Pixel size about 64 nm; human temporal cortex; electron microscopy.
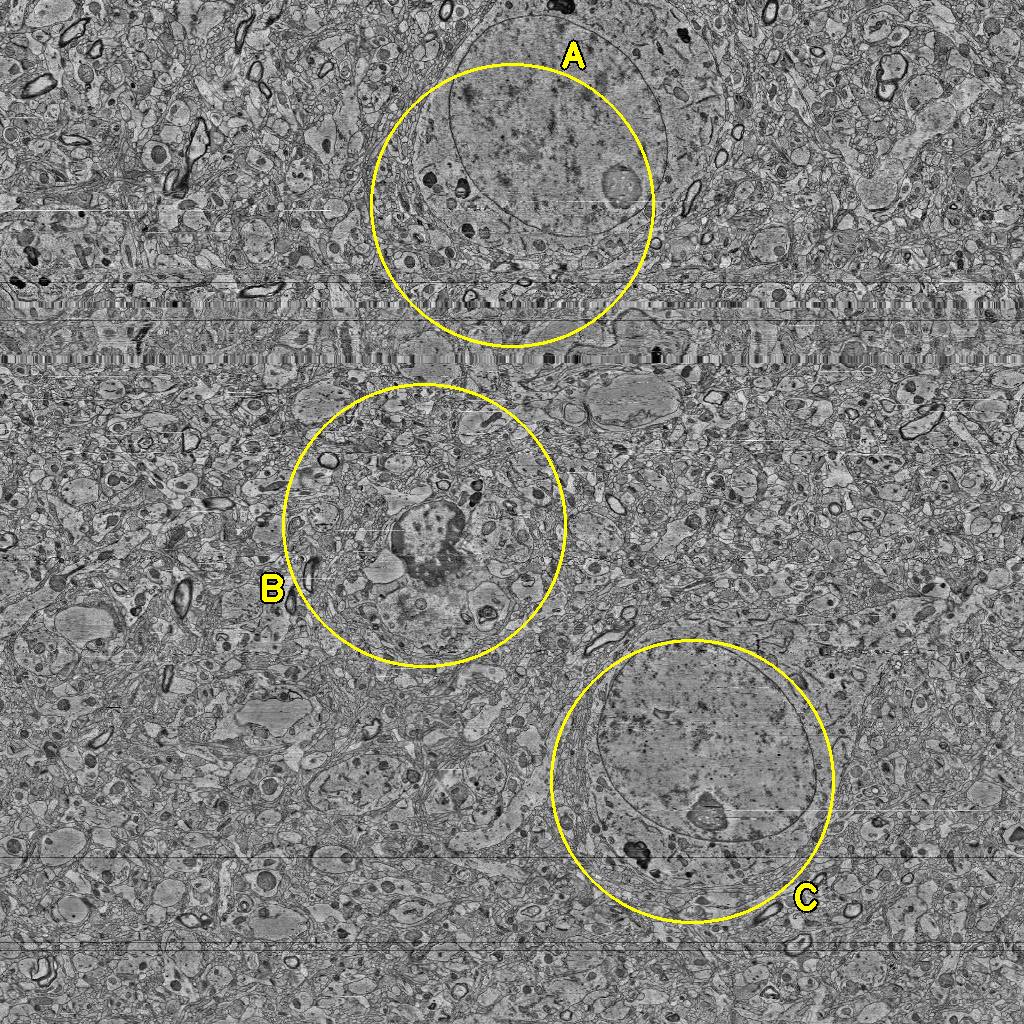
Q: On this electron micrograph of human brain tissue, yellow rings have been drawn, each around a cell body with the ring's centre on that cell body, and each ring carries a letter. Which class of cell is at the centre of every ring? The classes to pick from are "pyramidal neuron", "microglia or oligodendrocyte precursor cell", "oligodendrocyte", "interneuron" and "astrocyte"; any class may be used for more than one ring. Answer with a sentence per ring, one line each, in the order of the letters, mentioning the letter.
The centre of ring A is occupied by a pyramidal neuron.
The centre of ring B is occupied by a microglial cell or oligodendrocyte precursor cell.
The centre of ring C is occupied by a pyramidal neuron.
